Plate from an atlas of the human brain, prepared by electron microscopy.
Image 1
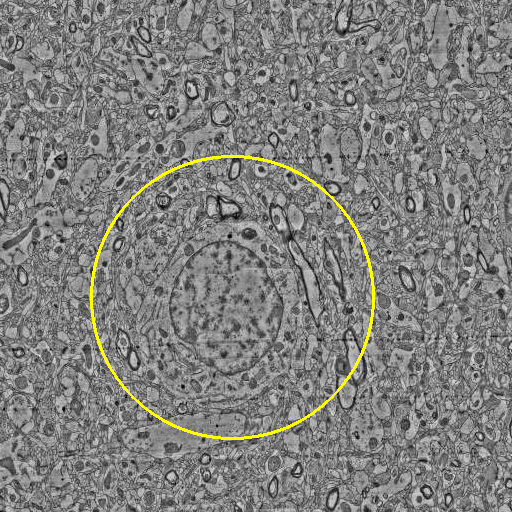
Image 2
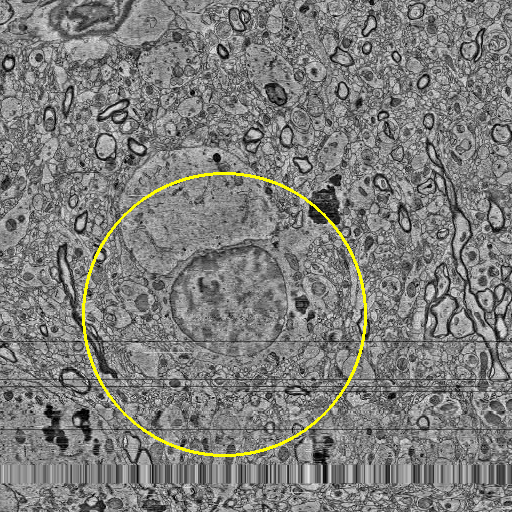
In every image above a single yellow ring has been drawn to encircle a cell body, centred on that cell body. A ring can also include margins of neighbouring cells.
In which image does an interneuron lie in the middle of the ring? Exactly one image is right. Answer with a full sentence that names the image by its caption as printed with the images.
Image 1 holds the requested cell at the very centre of its ring.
